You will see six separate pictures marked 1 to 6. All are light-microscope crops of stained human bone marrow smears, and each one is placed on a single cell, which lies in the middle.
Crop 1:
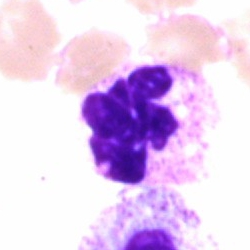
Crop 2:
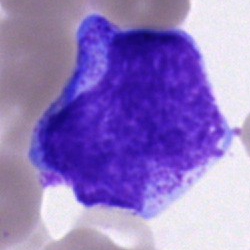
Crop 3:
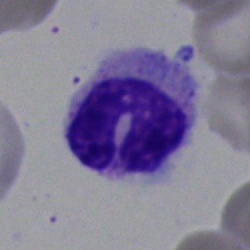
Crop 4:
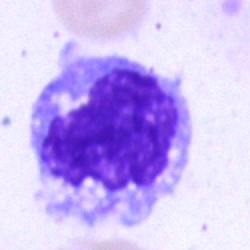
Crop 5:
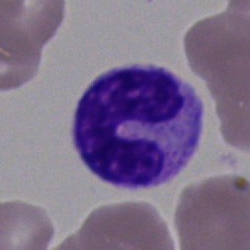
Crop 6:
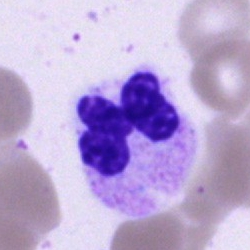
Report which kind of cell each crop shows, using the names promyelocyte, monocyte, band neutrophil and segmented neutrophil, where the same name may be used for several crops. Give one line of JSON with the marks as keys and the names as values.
{"1": "segmented neutrophil", "2": "promyelocyte", "3": "band neutrophil", "4": "monocyte", "5": "band neutrophil", "6": "segmented neutrophil"}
